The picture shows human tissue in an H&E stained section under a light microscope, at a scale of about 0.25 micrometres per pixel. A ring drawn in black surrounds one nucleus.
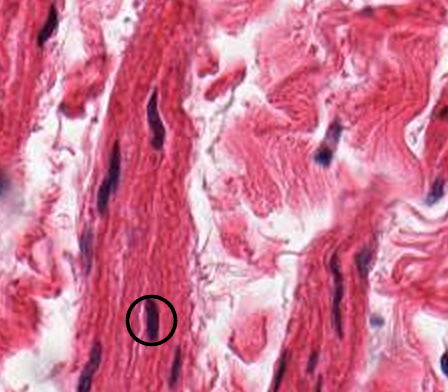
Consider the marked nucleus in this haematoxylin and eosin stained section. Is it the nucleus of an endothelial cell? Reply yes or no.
no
